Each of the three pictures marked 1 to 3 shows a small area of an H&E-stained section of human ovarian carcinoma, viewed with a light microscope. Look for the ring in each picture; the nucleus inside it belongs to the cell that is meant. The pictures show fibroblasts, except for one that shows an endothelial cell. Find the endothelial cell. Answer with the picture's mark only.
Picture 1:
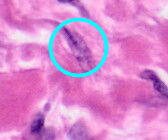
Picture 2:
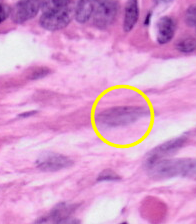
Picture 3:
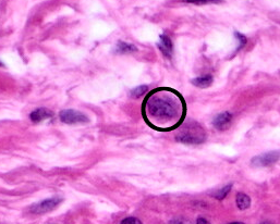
3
